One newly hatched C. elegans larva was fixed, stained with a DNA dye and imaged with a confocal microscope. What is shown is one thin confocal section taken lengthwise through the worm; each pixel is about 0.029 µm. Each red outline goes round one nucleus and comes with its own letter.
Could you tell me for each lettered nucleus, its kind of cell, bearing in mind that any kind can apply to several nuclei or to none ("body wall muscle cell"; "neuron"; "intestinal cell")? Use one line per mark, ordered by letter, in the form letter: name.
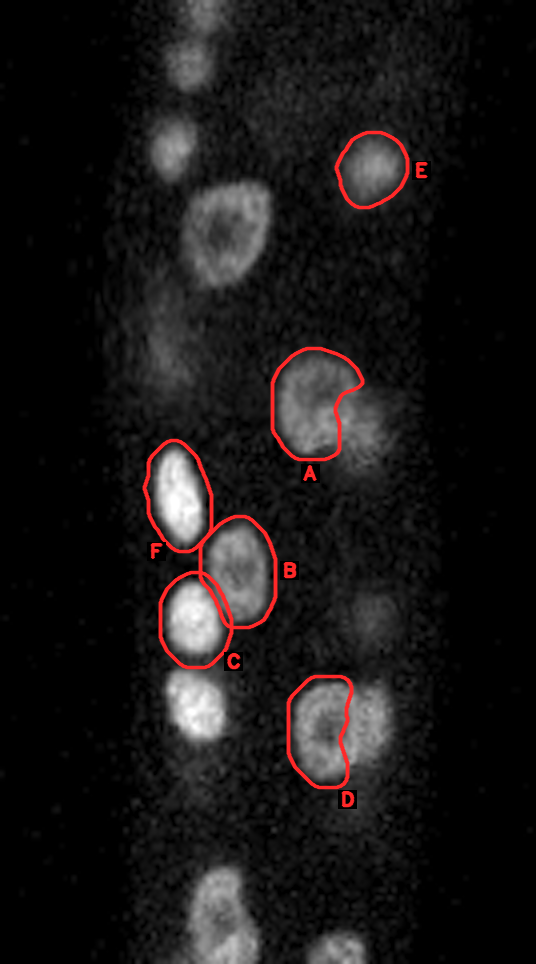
A: intestinal cell
B: intestinal cell
C: neuron
D: intestinal cell
E: body wall muscle cell
F: neuron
